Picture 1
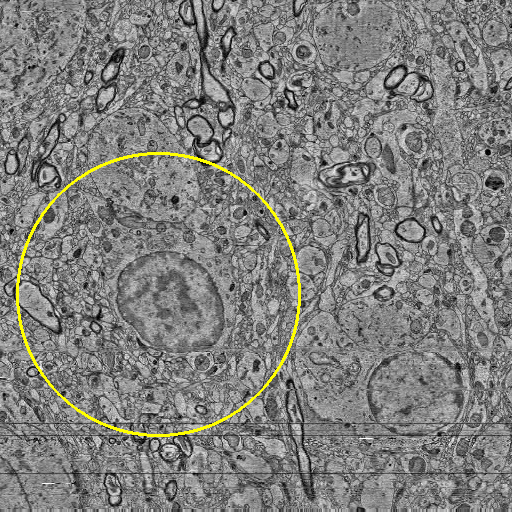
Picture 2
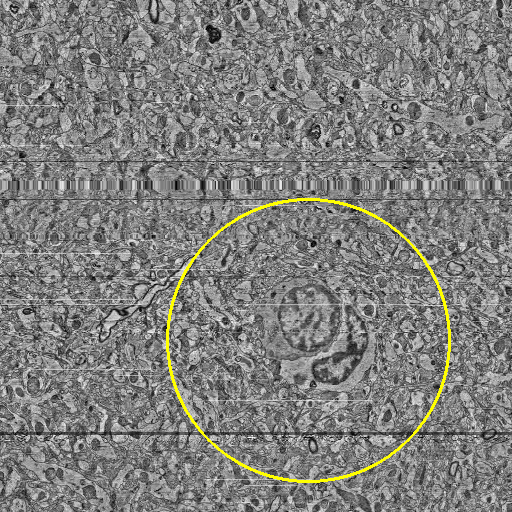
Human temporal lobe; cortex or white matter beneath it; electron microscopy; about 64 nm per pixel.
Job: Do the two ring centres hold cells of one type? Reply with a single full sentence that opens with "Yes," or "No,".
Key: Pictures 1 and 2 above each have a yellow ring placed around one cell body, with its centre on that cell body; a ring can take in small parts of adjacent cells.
Yes, the cells at the two ring centres are of one single type.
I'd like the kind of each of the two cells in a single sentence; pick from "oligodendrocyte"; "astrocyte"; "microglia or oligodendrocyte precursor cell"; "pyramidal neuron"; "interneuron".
Each of the two rings is centred on an oligodendrocyte.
